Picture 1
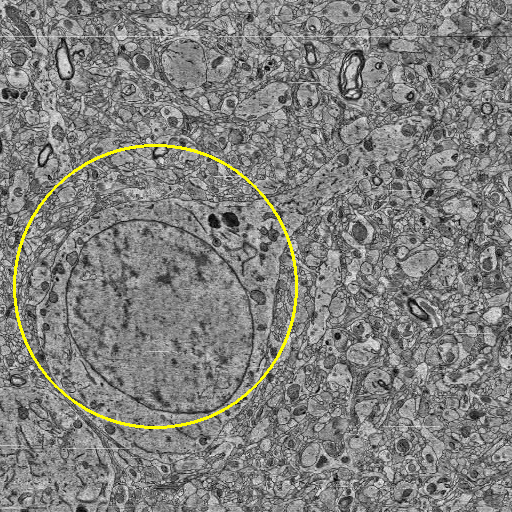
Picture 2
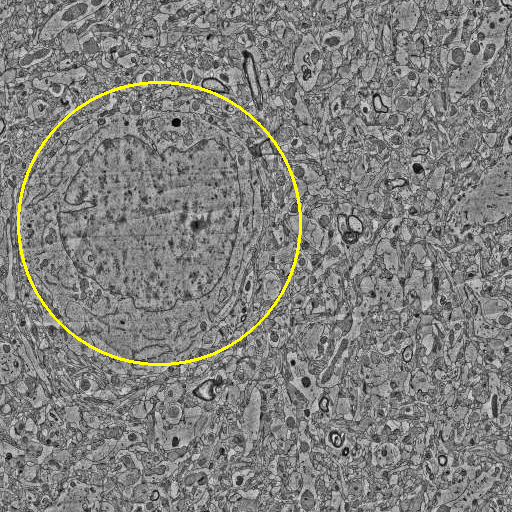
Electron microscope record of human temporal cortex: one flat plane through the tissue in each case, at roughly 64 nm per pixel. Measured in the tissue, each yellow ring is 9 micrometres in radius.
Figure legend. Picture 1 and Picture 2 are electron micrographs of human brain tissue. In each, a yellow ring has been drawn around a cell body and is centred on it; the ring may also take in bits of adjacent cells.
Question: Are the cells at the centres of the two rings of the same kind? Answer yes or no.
no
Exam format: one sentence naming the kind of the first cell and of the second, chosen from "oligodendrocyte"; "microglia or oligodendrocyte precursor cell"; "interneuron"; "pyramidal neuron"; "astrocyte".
The first picture's cell is a pyramidal neuron, and the second picture's cell is an interneuron.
